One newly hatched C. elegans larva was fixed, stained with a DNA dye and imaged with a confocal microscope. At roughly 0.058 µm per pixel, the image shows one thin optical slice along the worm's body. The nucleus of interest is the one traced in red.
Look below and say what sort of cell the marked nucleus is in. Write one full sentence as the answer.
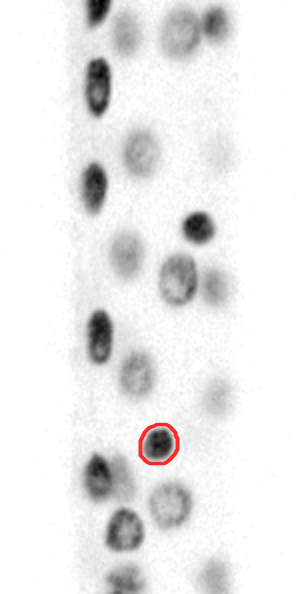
The marked nucleus belongs to a neuron.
